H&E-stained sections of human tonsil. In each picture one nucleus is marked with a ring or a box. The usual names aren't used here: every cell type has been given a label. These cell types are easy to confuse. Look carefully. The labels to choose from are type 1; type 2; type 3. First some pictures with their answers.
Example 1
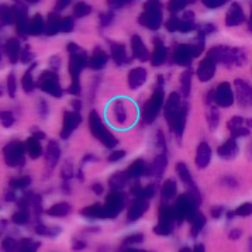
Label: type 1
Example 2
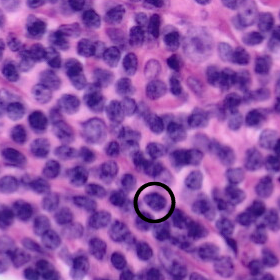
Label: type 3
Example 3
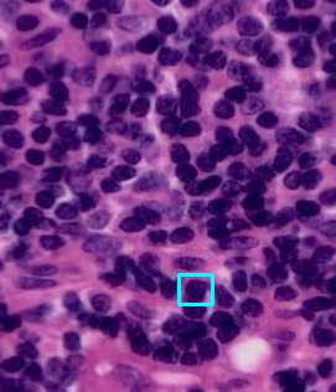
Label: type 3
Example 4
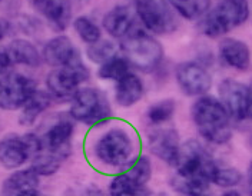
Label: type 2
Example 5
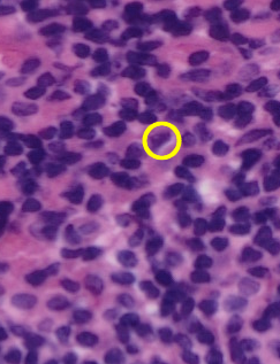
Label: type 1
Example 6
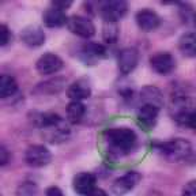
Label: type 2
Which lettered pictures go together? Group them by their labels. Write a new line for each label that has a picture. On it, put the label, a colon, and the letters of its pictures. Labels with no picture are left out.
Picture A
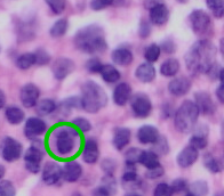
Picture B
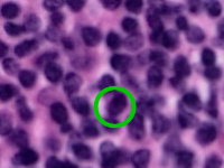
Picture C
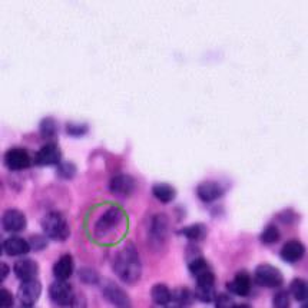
type 1: C
type 3: A, B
